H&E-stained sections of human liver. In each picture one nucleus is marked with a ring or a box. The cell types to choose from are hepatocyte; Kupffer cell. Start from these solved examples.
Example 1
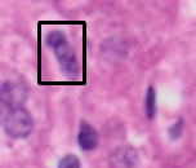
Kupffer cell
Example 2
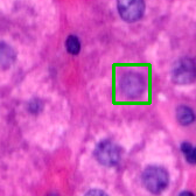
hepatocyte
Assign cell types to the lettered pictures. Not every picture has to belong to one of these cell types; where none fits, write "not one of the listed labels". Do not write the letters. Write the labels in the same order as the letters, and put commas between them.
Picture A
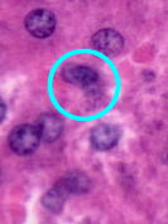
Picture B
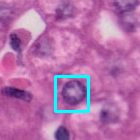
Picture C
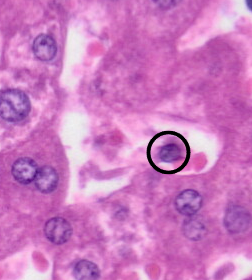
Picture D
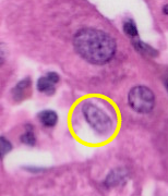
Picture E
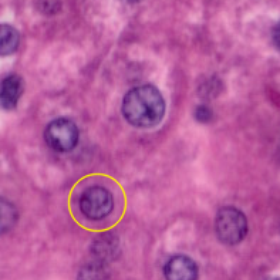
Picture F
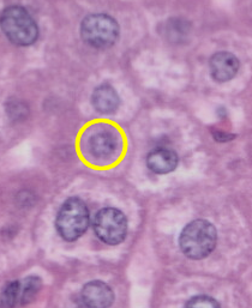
Kupffer cell, hepatocyte, Kupffer cell, Kupffer cell, hepatocyte, hepatocyte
